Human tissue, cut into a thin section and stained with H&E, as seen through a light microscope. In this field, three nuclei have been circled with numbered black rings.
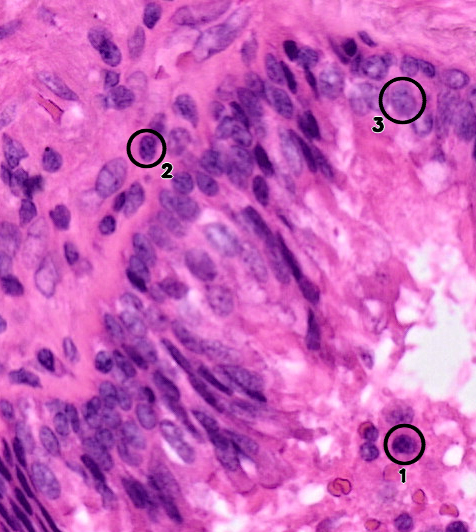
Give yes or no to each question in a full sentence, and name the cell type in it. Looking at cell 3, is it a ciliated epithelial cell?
Yes, within this section, cell number 3 is a ciliated epithelial cell.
